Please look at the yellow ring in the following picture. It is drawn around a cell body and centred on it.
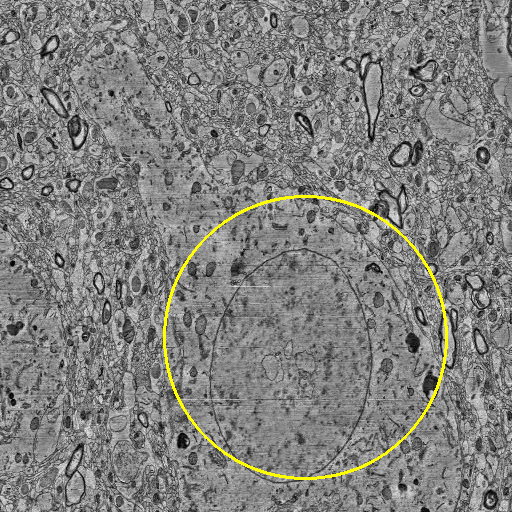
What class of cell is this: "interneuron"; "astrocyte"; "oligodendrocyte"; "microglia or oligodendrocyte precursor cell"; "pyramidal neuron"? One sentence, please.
The ring surrounds the cell body of a pyramidal neuron.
